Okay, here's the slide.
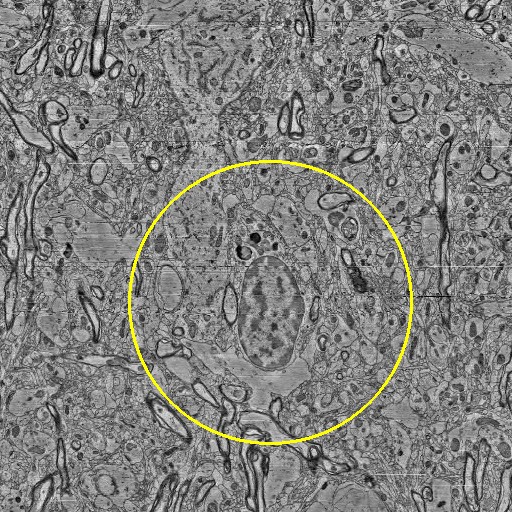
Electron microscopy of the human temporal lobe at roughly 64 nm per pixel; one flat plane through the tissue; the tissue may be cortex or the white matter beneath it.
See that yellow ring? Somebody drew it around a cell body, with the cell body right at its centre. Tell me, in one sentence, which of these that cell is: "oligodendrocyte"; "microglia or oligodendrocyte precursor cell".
The cell in the middle of the ring is a microglial cell or oligodendrocyte precursor cell.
